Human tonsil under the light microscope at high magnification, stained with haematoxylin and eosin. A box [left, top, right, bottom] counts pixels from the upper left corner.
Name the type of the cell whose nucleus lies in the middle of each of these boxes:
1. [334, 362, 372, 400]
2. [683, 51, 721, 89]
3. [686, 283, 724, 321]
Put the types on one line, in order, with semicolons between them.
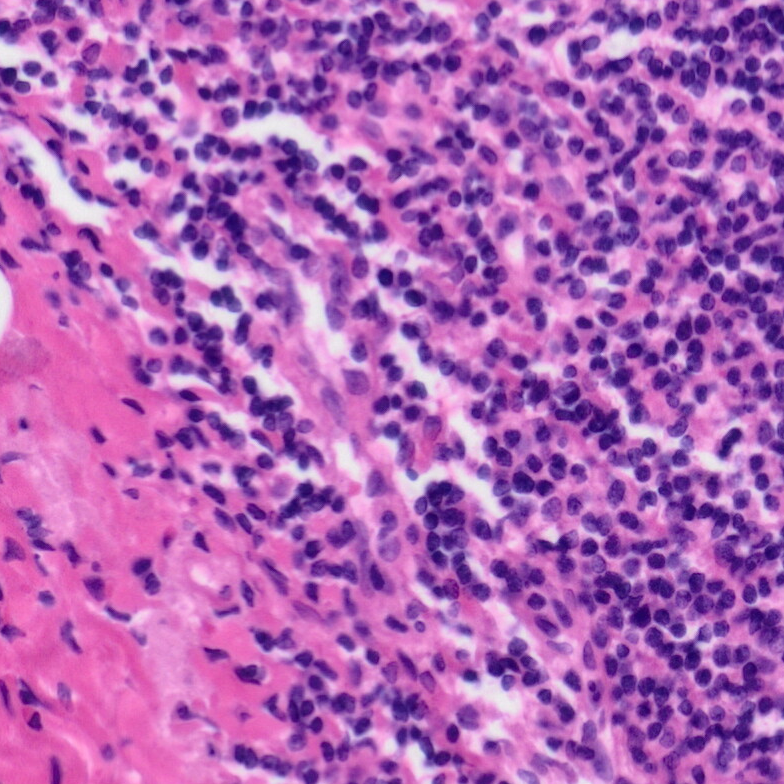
endothelial cell; small lymphocyte; small lymphocyte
